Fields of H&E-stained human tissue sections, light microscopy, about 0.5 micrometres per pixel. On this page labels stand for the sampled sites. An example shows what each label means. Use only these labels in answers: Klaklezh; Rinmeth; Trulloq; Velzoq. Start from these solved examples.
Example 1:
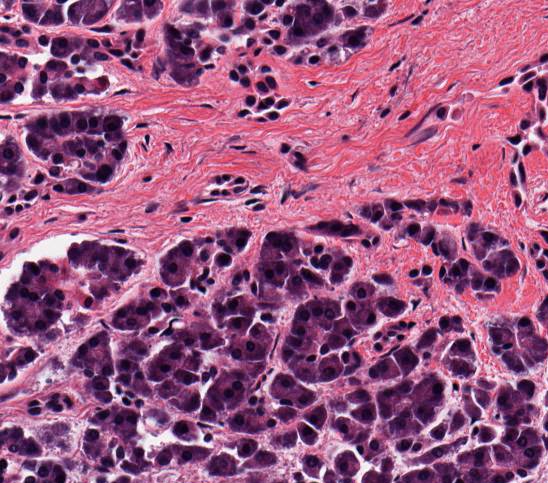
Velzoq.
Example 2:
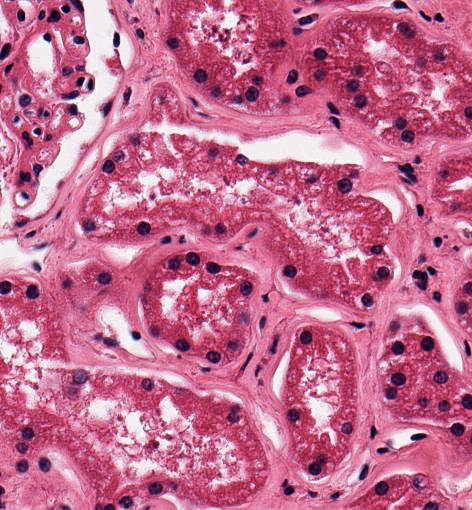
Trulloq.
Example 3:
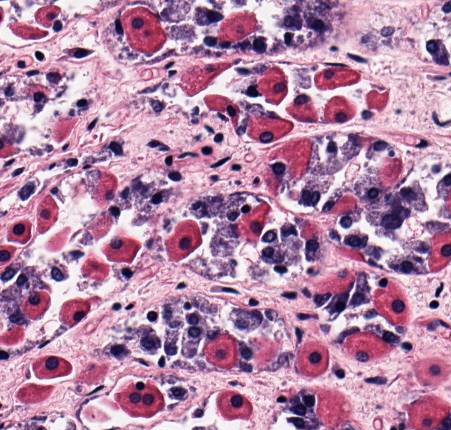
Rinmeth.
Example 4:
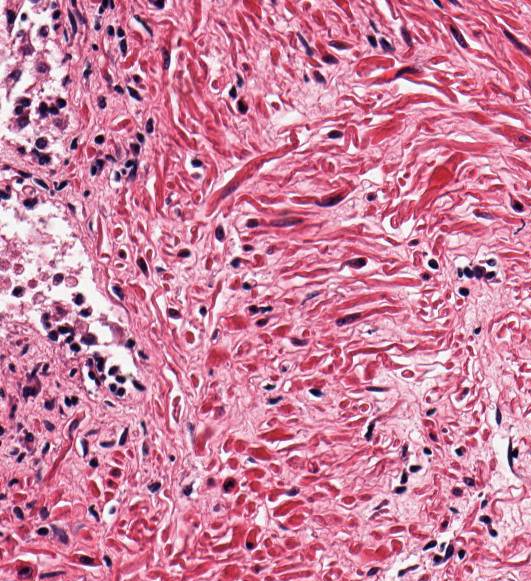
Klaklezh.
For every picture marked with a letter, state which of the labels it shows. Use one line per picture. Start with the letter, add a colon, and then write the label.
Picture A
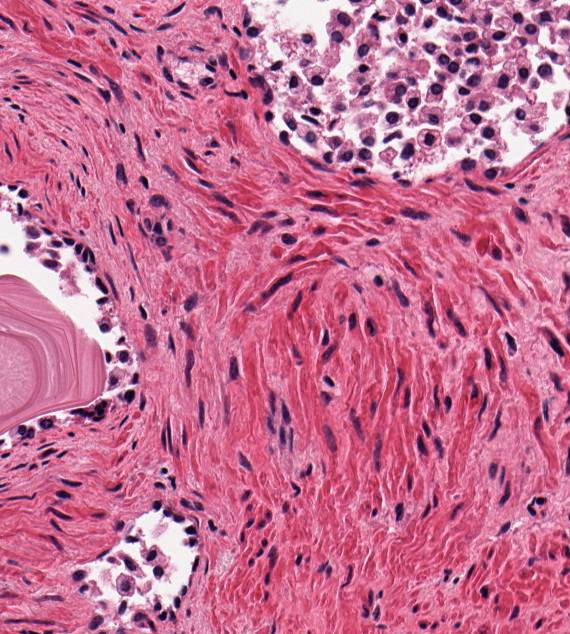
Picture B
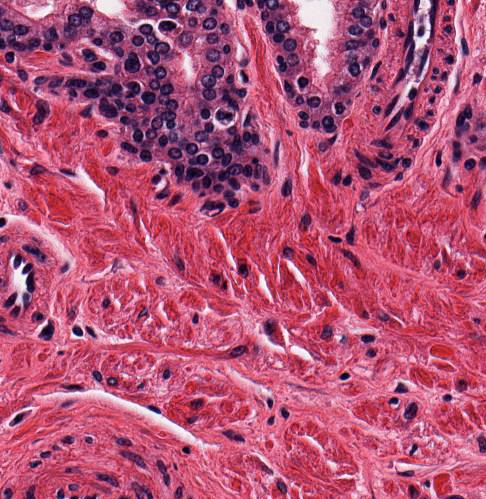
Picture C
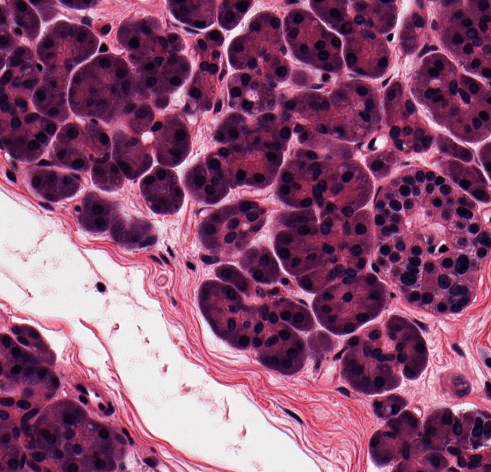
A: Klaklezh.
B: Klaklezh.
C: Velzoq.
